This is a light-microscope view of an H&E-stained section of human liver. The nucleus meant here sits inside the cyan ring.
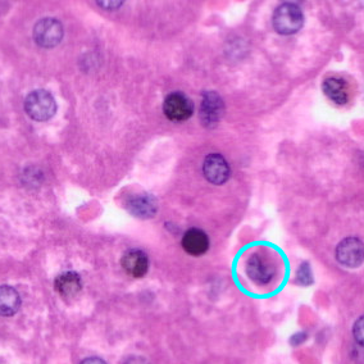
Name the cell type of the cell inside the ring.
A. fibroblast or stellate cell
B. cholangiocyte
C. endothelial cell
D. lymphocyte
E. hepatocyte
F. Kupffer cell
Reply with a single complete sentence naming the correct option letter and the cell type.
On this slide, the cell inside the ring is a Kupffer cell, so option F is right.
